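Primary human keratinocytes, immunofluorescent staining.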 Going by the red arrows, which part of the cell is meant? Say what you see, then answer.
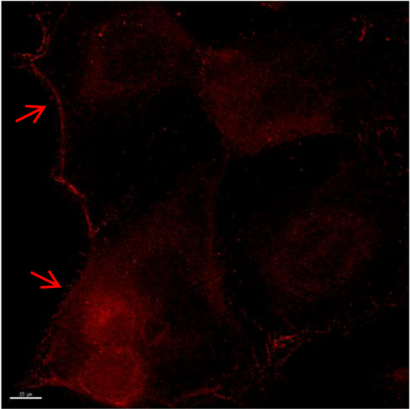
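The arrows point to a thin red line at the edge of a cell. The line marks the boundary between the cell and the dark background.
Plasma membrane.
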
